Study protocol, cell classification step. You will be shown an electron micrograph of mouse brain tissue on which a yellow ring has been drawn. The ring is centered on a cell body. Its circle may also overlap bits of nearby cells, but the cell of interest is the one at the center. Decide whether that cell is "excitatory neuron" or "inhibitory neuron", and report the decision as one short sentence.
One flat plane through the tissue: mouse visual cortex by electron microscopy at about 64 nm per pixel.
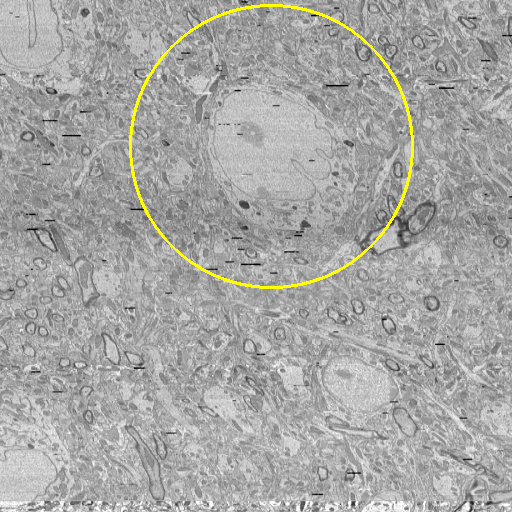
The marked cell is an excitatory neuron.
